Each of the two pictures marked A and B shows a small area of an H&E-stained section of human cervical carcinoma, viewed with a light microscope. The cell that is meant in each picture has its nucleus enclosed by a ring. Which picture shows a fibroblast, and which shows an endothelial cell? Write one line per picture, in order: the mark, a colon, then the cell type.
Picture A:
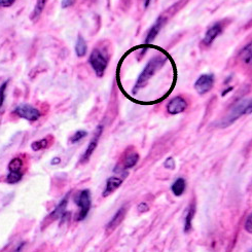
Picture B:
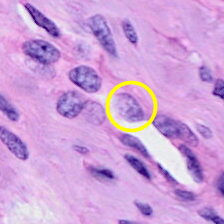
A: fibroblast
B: endothelial cell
